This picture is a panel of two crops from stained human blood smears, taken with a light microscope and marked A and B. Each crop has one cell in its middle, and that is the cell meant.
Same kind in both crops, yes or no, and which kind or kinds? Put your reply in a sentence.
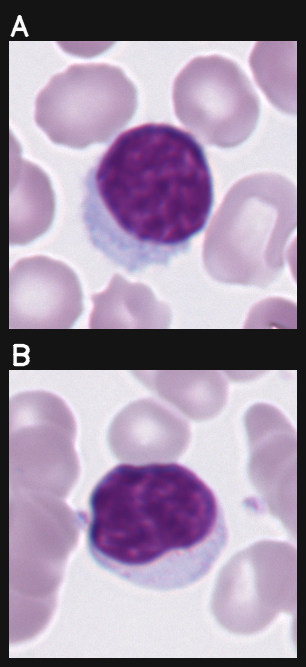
No, crop A carries a hairy cell and crop B carries a large granular lymphocyte.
